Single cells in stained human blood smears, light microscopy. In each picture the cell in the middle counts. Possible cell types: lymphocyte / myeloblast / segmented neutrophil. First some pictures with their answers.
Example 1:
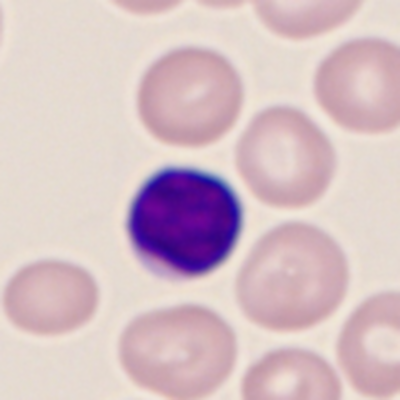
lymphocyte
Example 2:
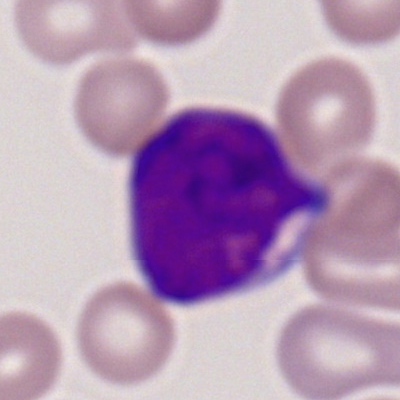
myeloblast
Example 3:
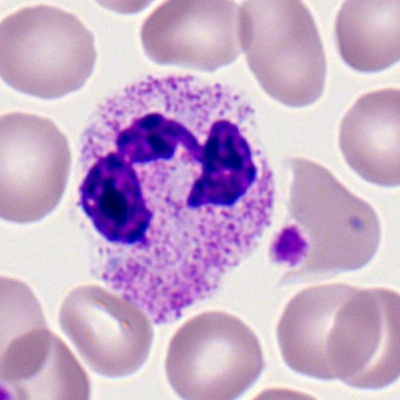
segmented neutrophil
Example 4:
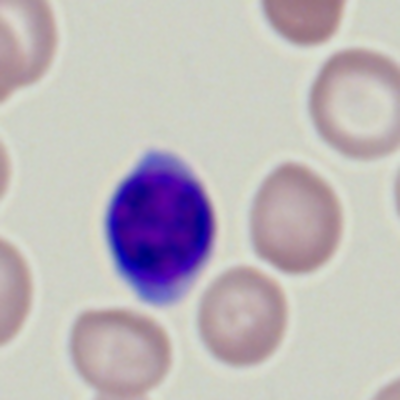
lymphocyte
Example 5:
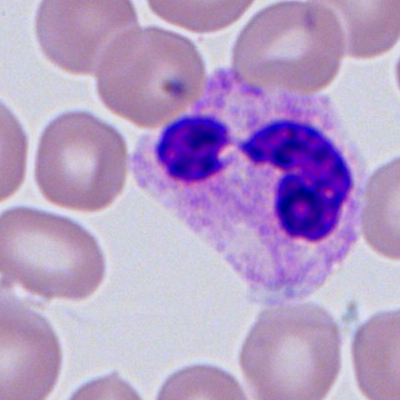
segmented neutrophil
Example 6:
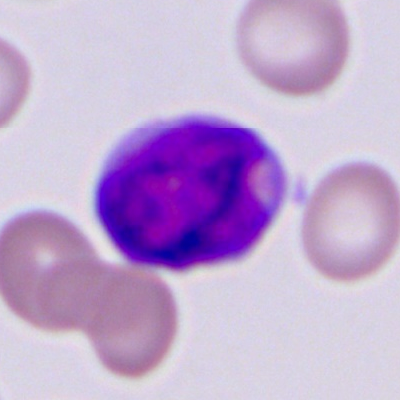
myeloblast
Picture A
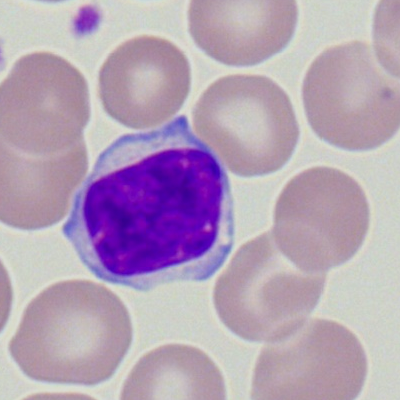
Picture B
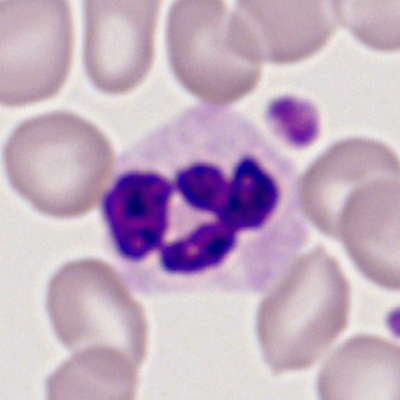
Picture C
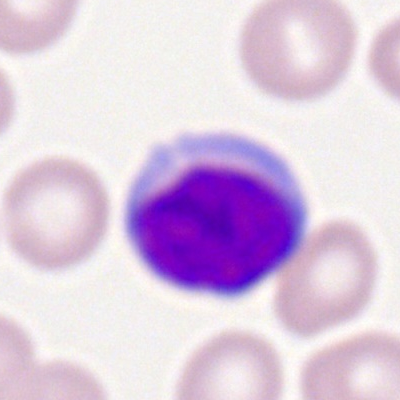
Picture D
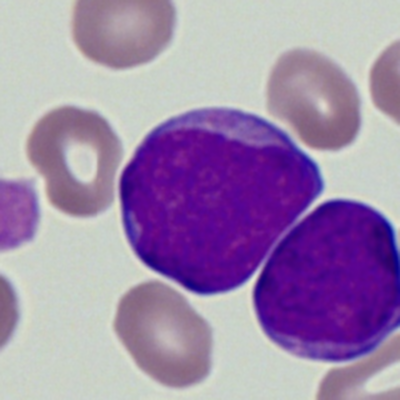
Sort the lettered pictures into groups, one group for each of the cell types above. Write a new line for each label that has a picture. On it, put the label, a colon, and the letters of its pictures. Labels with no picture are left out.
lymphocyte: A, C
myeloblast: D
segmented neutrophil: B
